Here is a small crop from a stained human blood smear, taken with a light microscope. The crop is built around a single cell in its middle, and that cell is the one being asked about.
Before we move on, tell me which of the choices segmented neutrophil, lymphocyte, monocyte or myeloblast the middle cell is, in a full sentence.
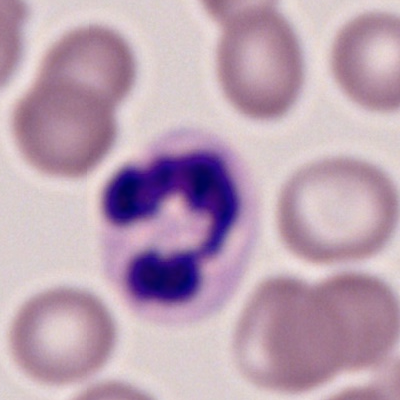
Occupying the centre of the crop is a segmented neutrophil.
